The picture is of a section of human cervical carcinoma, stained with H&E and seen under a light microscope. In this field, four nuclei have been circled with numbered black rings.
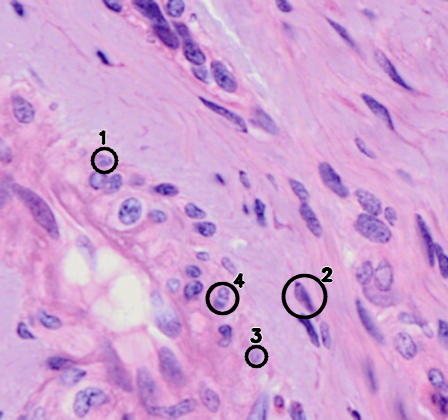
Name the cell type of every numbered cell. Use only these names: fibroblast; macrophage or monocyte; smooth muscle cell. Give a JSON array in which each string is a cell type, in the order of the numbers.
["smooth muscle cell", "fibroblast", "smooth muscle cell", "smooth muscle cell"]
